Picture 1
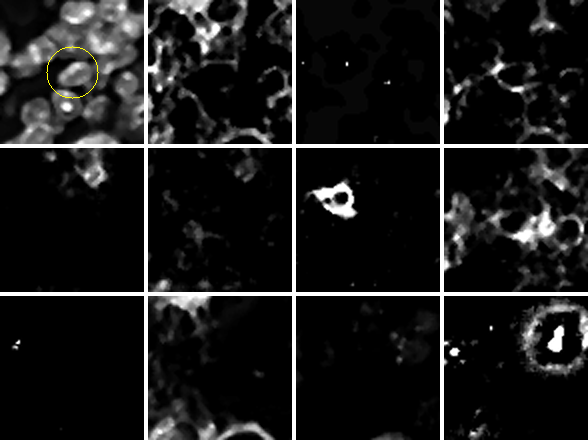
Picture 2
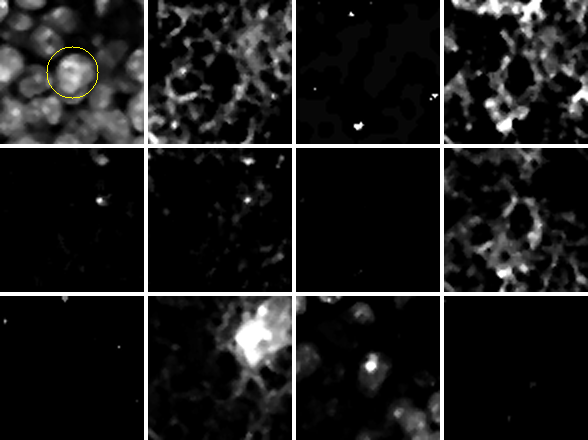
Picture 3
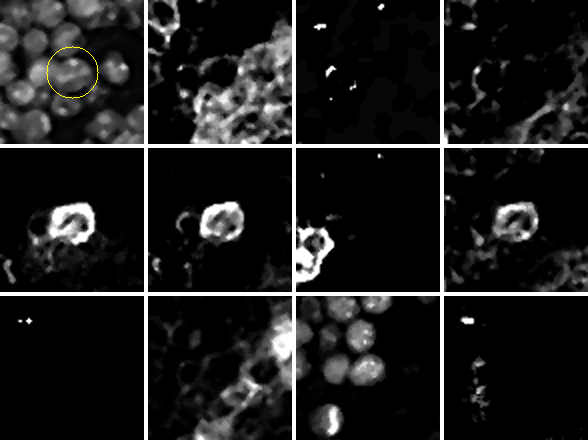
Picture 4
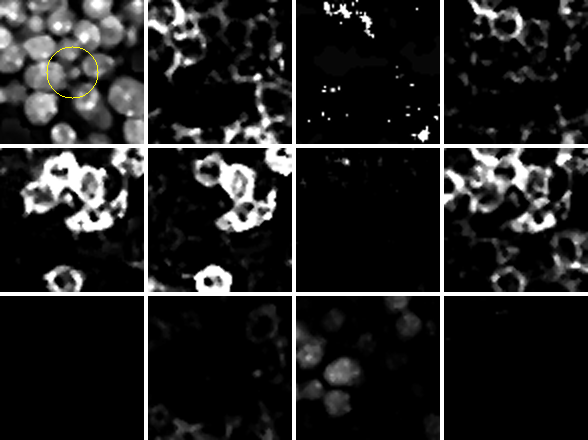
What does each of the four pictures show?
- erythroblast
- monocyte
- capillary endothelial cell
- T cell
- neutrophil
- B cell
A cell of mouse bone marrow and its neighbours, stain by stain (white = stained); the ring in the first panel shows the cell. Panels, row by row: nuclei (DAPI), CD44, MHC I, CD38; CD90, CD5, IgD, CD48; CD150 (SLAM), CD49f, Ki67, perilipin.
1. monocyte
2. erythroblast
3. T cell
4. T cell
